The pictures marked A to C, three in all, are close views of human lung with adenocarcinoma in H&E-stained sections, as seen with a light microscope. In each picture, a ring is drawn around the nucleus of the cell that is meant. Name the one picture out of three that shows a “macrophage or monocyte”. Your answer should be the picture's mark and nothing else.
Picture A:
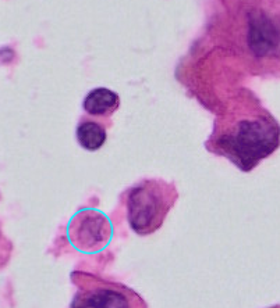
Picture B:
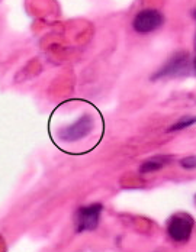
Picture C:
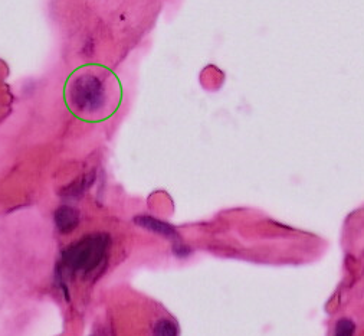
A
